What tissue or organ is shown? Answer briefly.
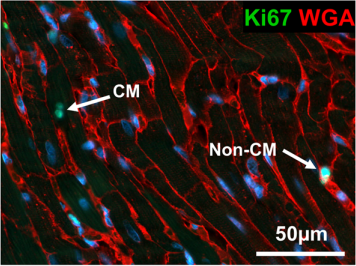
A: Heart.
